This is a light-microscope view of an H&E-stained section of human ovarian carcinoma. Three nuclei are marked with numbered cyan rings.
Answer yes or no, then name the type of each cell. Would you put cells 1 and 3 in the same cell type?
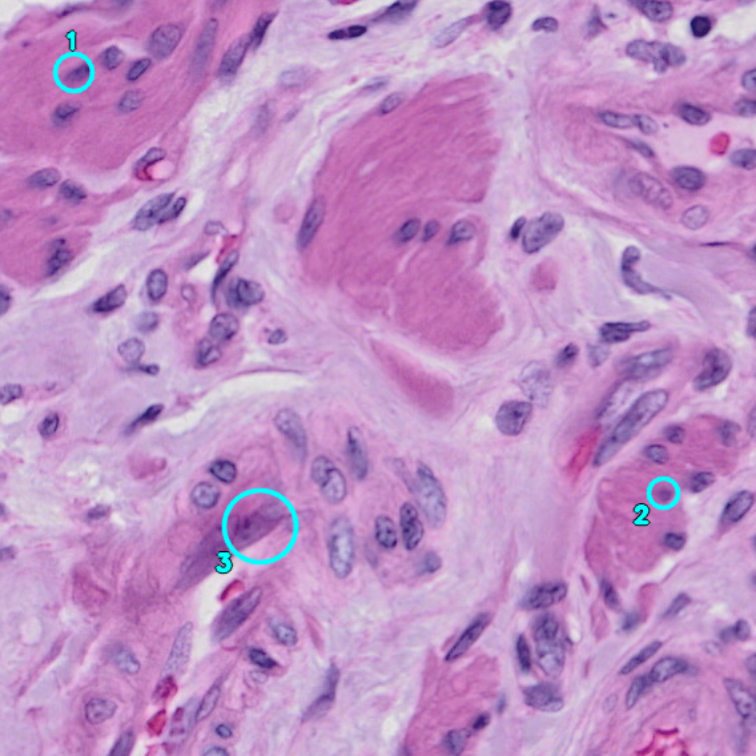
No, cell 1 is a smooth muscle cell and cell 3 is an endothelial cell.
